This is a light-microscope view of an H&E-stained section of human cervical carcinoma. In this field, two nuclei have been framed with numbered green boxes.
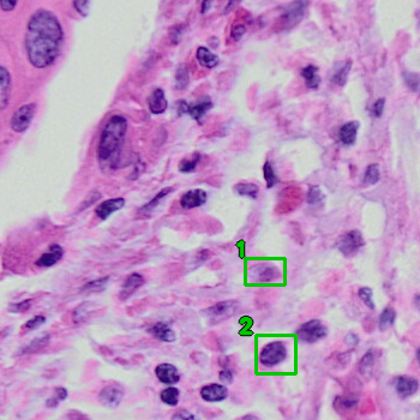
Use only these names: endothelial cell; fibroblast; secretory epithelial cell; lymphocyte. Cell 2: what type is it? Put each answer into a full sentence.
The cell that is numbered 2 is a lymphocyte.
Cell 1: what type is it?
Identified by the number 1, the cell is a fibroblast.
